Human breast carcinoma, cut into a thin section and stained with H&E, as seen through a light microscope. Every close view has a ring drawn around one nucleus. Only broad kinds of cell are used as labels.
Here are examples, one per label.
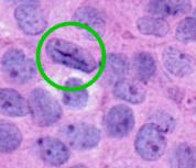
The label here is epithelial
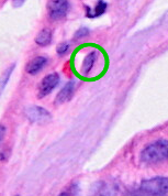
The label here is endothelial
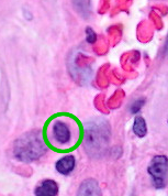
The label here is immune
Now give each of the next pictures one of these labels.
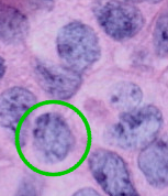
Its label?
epithelial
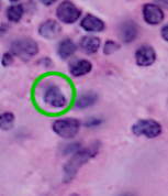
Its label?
immune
